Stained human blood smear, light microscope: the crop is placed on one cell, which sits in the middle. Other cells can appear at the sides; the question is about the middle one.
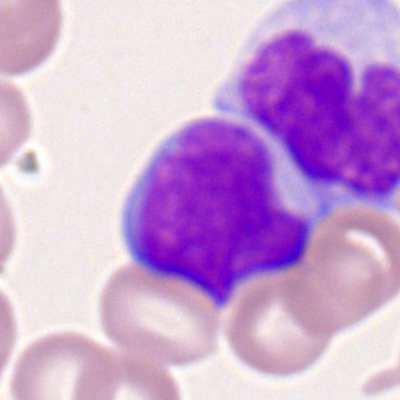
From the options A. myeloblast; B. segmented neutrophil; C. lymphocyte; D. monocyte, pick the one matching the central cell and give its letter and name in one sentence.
The middle of the crop contains a myeloblast, so option A is right.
